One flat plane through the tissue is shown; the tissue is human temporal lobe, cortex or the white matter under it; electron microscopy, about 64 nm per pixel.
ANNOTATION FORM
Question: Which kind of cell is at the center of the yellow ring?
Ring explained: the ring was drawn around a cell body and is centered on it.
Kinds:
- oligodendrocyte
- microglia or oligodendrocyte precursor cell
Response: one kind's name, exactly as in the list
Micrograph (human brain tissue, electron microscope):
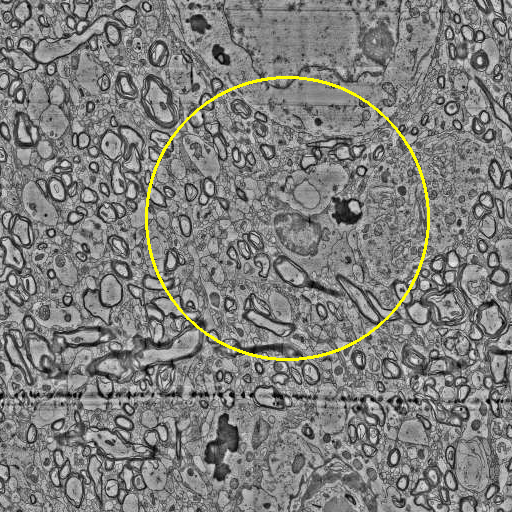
oligodendrocyte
